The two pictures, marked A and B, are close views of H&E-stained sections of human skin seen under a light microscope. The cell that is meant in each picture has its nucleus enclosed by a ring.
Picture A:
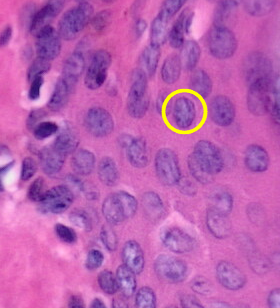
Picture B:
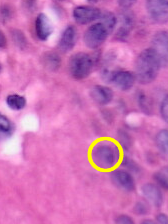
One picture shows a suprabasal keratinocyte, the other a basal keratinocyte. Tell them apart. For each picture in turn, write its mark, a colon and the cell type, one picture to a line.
A: suprabasal keratinocyte
B: basal keratinocyte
